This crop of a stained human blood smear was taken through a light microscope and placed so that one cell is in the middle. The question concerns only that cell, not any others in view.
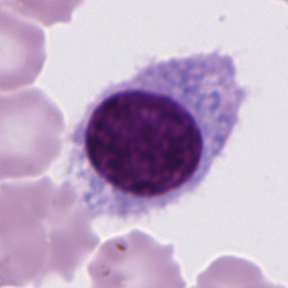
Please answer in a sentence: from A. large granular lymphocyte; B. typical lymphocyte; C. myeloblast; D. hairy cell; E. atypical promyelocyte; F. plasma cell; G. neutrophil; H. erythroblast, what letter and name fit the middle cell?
Option D is correct, and the cell in the centre is a hairy cell.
